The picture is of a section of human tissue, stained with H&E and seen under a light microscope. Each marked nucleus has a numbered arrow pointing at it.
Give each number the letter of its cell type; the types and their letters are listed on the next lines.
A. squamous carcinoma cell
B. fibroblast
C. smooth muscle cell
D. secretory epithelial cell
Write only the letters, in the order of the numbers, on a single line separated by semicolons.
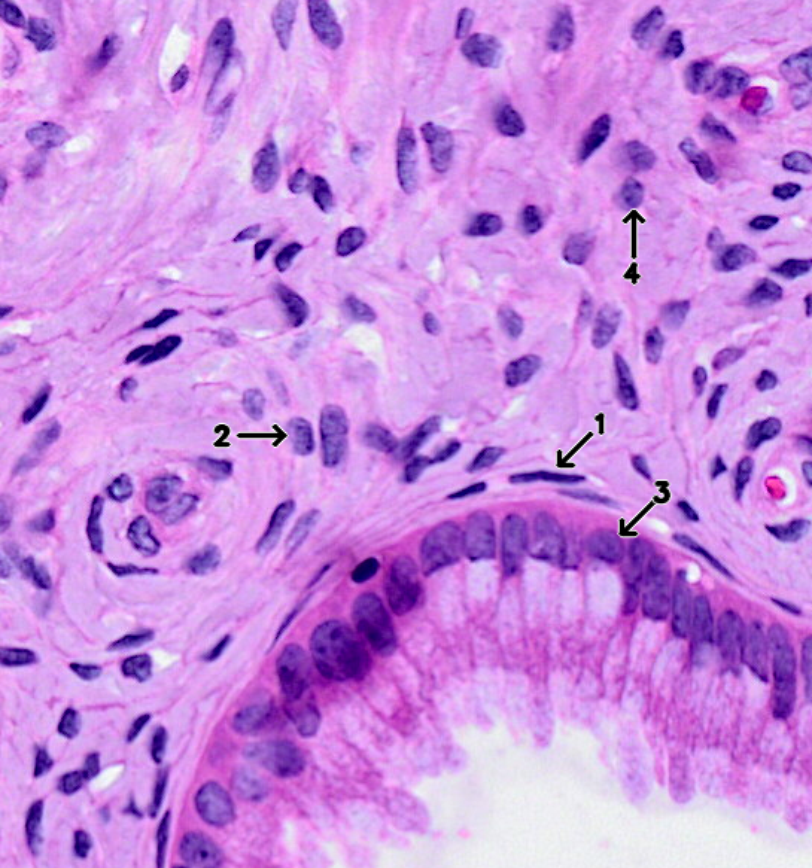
B; B; D; B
